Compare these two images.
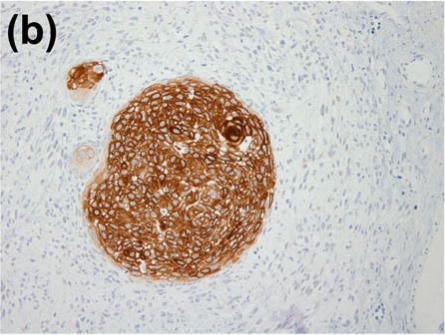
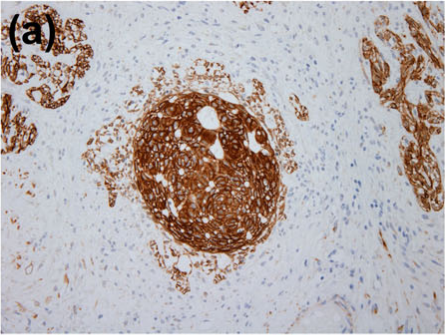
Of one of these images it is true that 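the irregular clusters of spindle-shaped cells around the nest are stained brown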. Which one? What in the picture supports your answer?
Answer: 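Second image: irregular brown clusters of elongated cells surround the round nest and fill the corners. On this evidence: the second image.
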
